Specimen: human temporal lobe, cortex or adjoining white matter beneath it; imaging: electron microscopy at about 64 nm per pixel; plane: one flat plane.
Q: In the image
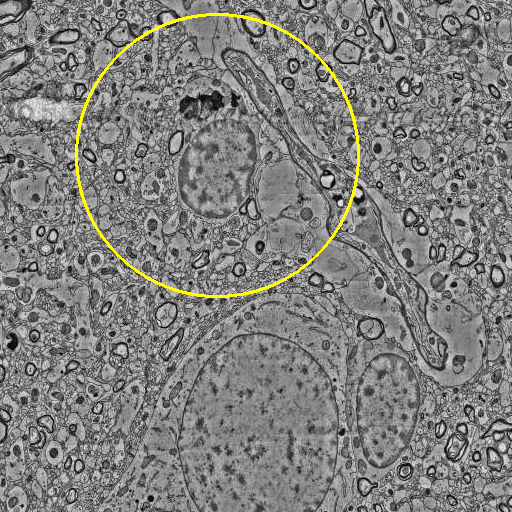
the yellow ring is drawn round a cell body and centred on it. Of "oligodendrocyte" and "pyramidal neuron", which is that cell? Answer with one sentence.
The cell centred in the ring is an oligodendrocyte.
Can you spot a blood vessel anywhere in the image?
Yes, a blood vessel is present in this picture.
